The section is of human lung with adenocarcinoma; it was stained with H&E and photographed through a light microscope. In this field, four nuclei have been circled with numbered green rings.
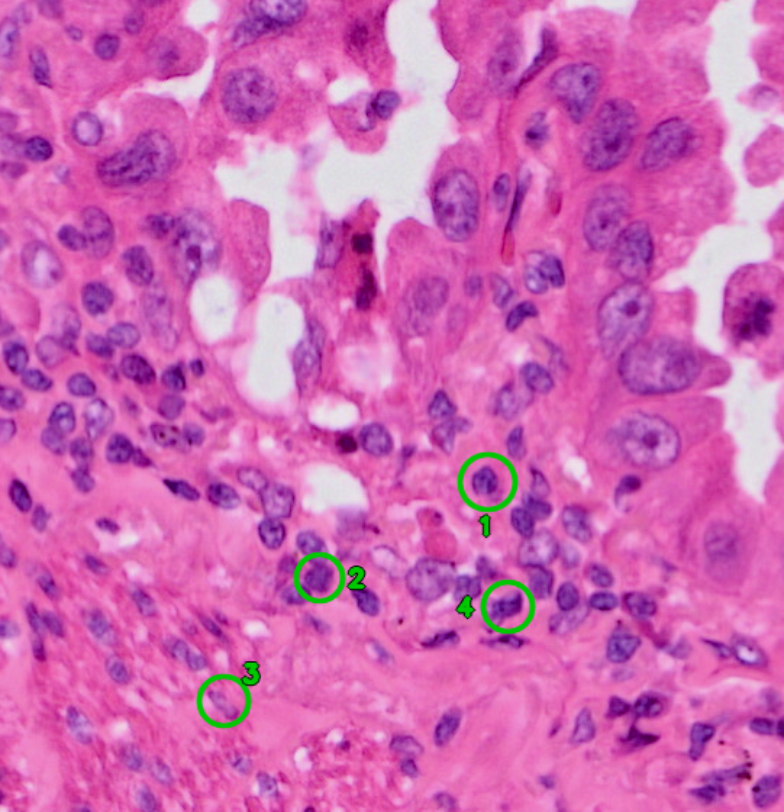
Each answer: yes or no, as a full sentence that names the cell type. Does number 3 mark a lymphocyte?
No, the cell denoted 3 is a smooth muscle cell or pericyte rather than a lymphocyte.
